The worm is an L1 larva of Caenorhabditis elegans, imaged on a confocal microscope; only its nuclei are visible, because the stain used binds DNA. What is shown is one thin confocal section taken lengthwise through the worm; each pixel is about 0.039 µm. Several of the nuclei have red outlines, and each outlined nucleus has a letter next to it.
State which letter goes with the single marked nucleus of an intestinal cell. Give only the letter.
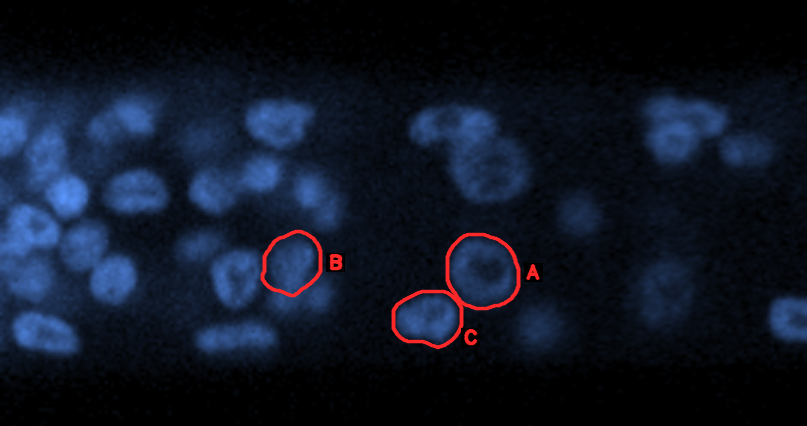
A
